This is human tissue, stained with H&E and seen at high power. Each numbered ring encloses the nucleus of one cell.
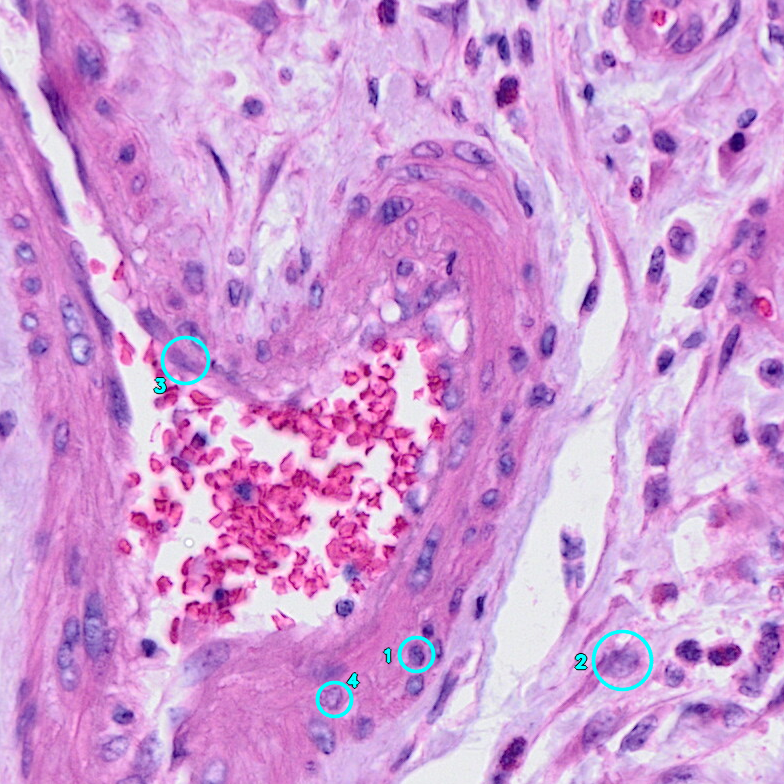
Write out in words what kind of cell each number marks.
Cells 1 and 4 are smooth muscle cells. Cell 2 is a fibroblast. Cell 3 is an endothelial cell.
